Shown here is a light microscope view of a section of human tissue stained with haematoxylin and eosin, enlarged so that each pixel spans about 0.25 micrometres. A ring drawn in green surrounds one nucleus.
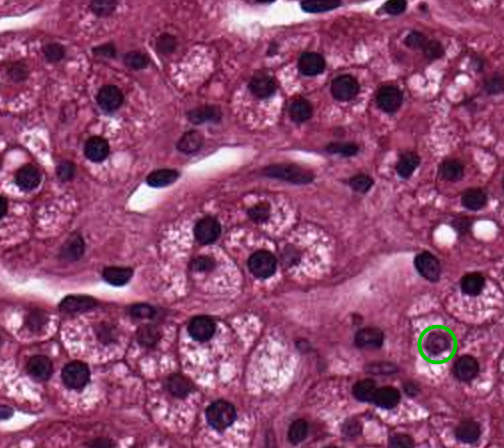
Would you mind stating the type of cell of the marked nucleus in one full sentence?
The marked nucleus forms part of an adrenal cortical cell.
